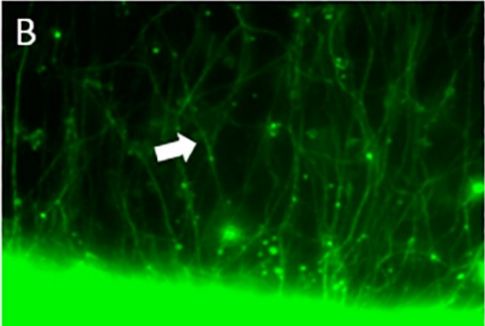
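Many long, thin outgrowing neurites run upward, mostly parallel to one another, across the dark background. Along their length they bear small bead-like swellings, and a few brighter round bodies sit scattered among them.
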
